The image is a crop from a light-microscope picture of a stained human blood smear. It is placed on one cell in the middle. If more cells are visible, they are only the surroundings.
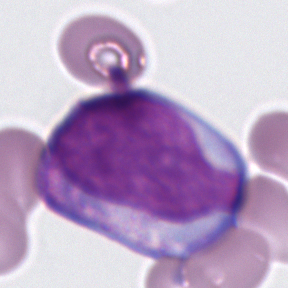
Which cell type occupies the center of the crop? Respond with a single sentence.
For this crop, the central cell is an atypical promyelocyte.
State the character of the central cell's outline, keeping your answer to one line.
The edge is uneven, and this unevenness takes the form of ragged stretches or projections.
